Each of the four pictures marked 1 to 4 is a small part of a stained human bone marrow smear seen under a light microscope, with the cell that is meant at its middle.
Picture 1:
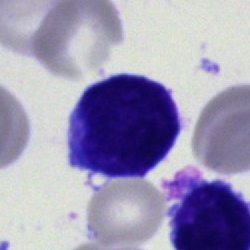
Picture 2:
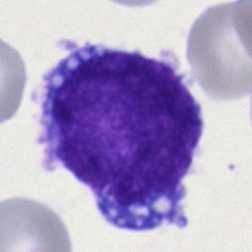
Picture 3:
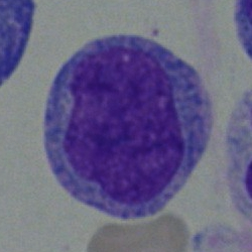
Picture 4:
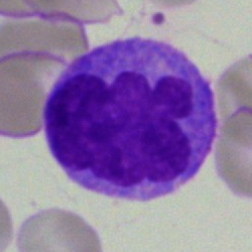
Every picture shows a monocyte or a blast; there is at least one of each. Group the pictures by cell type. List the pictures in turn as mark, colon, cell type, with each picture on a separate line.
1: blast
2: blast
3: monocyte
4: monocyte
